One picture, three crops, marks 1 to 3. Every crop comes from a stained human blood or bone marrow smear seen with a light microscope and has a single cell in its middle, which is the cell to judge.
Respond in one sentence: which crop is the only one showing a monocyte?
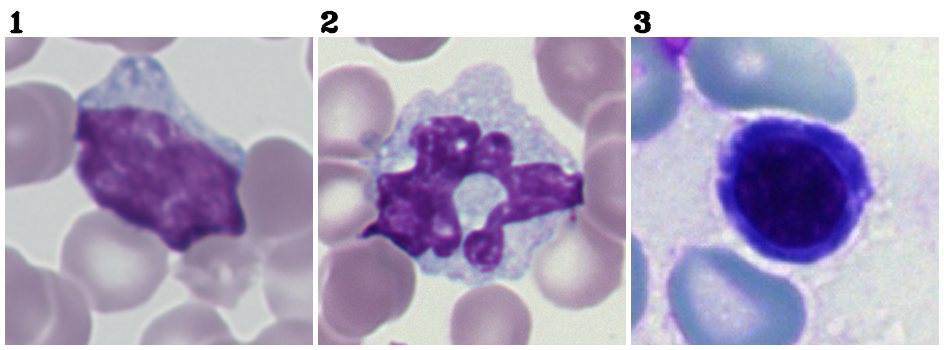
The one crop in the set with a monocyte is crop 2.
